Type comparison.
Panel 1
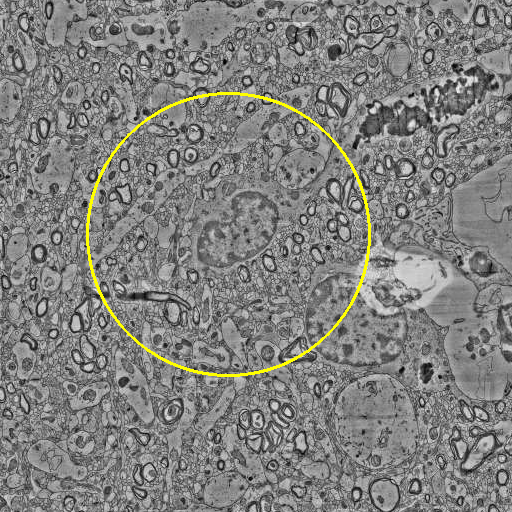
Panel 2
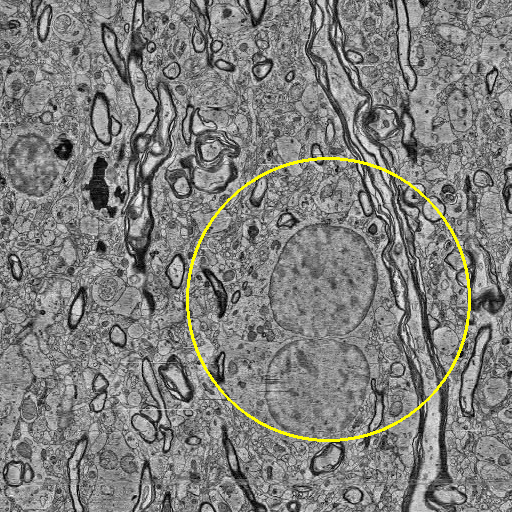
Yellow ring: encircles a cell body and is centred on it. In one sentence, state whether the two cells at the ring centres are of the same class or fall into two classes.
In these panels, the two cells at the ring centres are of the same class.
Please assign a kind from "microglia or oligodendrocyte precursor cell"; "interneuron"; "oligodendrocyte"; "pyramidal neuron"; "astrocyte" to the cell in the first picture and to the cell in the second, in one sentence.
In each of the two pictures, the ringed cell is an oligodendrocyte.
